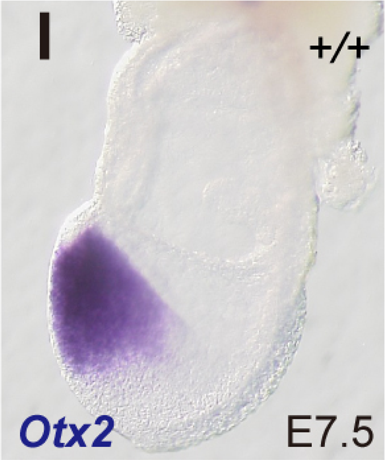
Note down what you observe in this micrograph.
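This is a whole-mount early embryo in its egg-cylinder form, seen from the side under brightfield. The lower, embryonic half is strongly stained dark purple on one side, the stain fading toward the opposite side and toward the tip, in the region of the neuroectoderm. The upper, extraembryonic portion with its folded membranes is pale and unstained. Individual cells are not resolved; the stain shows a broad continuous domain within the cup-shaped embryonic tissue rather than scattered cells.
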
